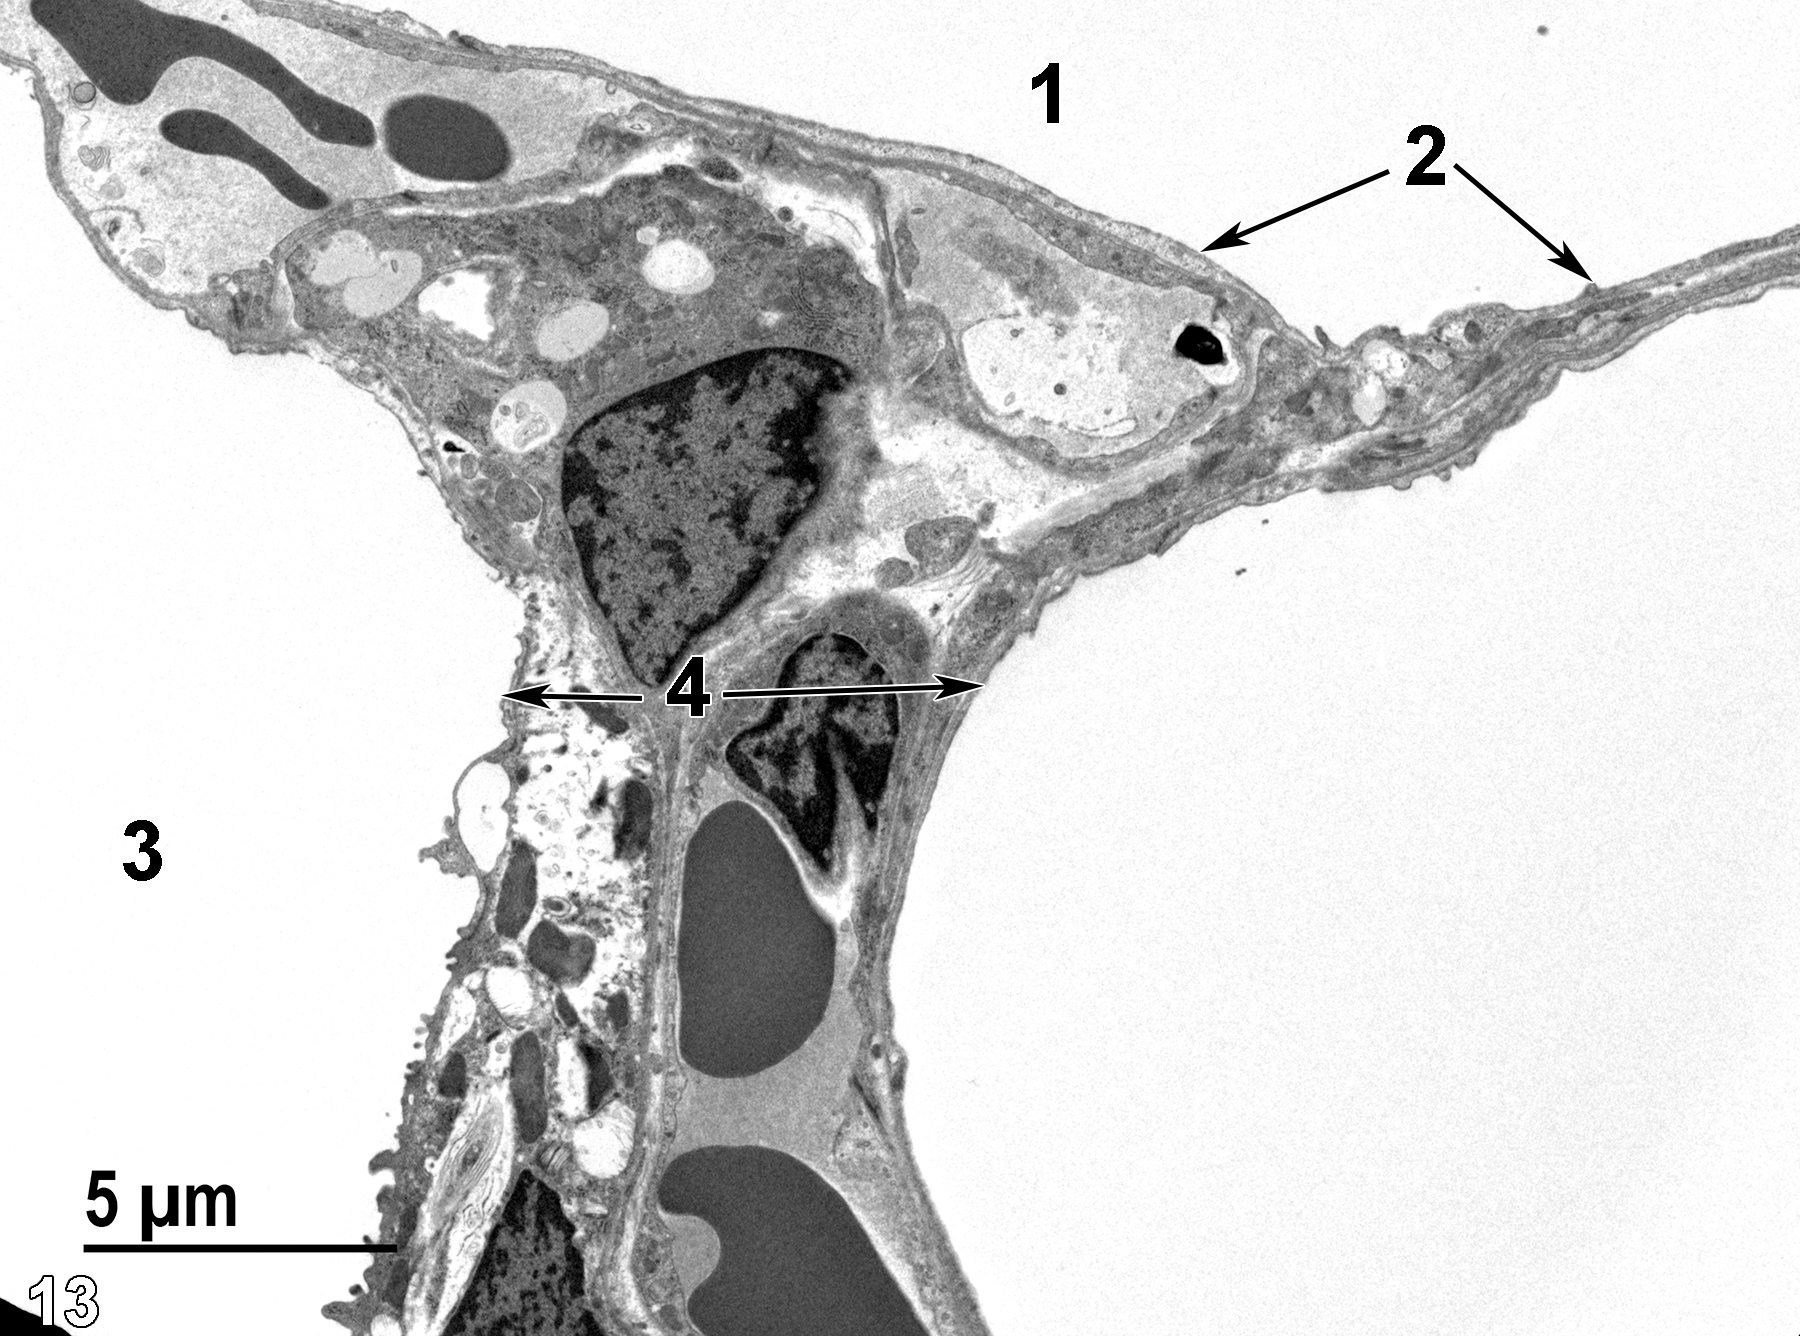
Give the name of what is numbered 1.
pleural cavity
